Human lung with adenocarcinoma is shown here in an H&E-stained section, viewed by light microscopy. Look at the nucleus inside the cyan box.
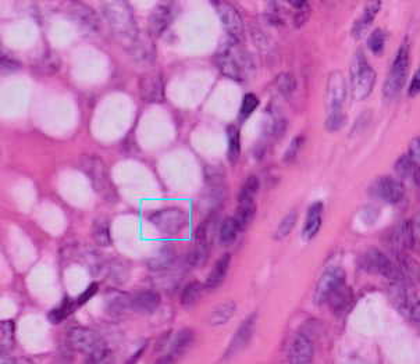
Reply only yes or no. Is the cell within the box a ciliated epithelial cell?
yes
